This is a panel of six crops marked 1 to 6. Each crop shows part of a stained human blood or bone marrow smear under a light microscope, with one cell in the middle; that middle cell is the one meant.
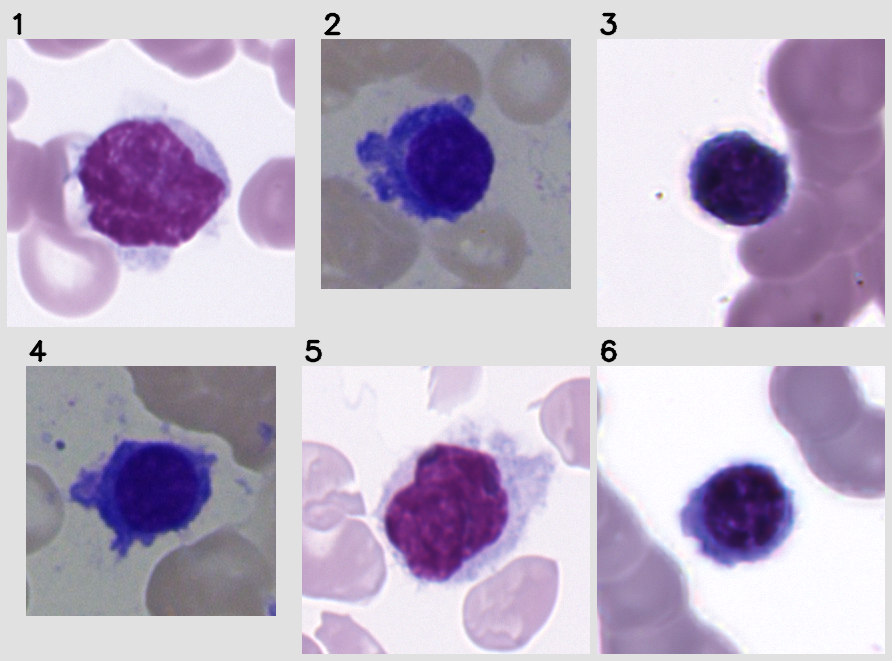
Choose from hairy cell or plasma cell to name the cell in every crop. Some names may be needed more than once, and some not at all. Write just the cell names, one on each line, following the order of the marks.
hairy cell
plasma cell
plasma cell
plasma cell
hairy cell
plasma cell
